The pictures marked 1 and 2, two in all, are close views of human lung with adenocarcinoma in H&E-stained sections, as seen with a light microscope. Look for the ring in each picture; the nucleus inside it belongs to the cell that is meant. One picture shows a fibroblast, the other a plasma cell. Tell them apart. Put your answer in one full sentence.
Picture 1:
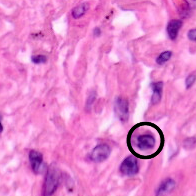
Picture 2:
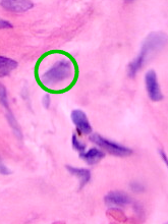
Picture 2 shows a fibroblast, while picture 1 shows a plasma cell.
